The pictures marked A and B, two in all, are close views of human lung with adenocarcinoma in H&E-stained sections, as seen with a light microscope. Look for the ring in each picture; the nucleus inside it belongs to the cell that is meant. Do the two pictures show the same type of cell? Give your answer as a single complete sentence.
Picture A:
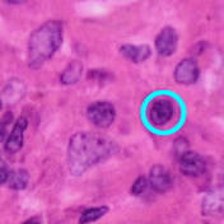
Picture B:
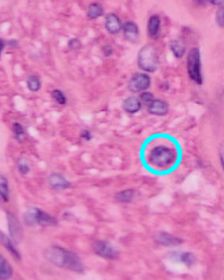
No. Picture A shows a plasma cell, but picture B shows a mast cell.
